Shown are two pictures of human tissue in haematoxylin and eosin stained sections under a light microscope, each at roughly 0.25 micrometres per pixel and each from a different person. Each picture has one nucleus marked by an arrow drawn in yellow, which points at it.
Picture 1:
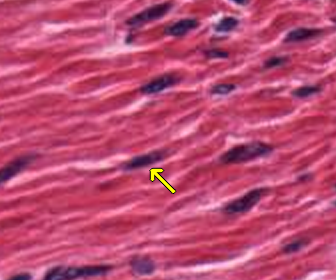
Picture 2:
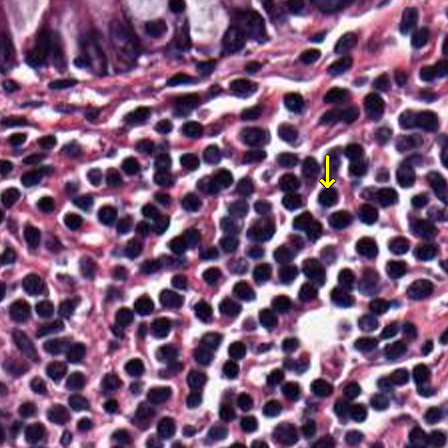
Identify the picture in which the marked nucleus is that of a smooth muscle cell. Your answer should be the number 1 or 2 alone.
1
